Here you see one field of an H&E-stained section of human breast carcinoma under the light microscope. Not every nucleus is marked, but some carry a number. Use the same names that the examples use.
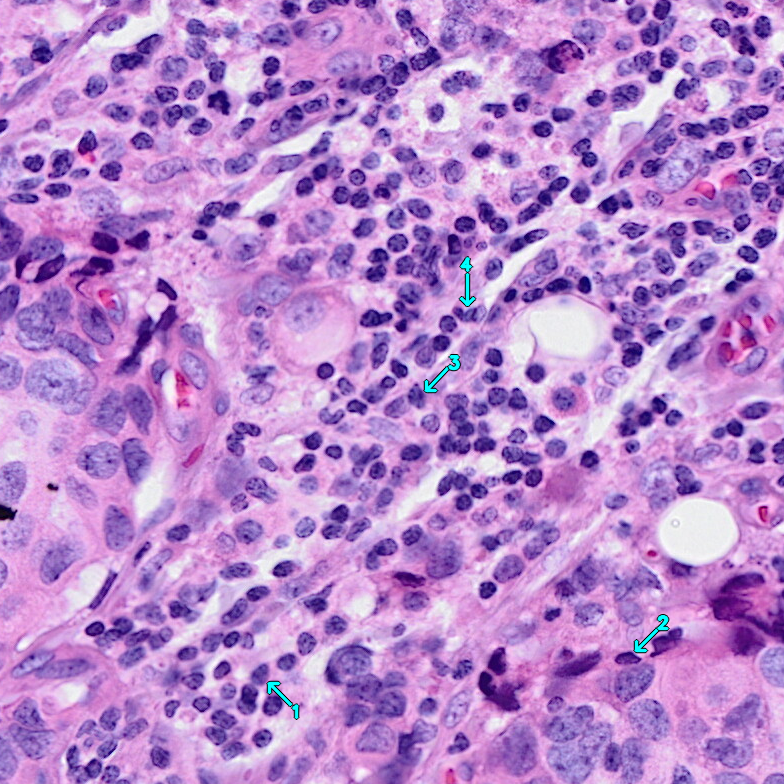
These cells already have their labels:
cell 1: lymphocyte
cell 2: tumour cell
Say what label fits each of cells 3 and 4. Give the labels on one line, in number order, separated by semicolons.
lymphocyte; lymphocyte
